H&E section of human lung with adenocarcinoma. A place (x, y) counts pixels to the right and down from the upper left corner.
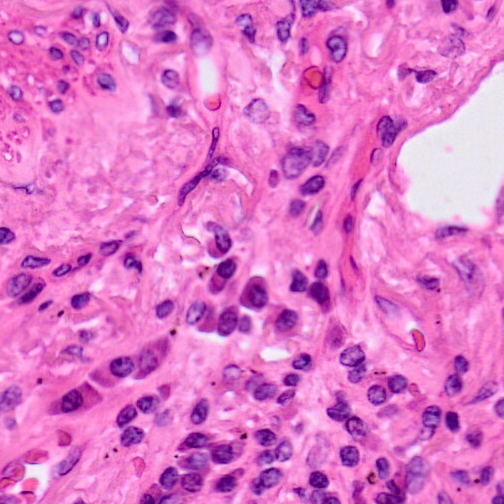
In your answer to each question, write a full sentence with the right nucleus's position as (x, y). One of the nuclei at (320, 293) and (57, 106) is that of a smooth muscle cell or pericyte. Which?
Located at (57, 106), this nucleus is the one belonging to a smooth muscle cell or pericyte.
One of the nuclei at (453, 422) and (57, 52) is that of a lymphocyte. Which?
The nucleus situated at (453, 422) is the one belonging to a lymphocyte.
